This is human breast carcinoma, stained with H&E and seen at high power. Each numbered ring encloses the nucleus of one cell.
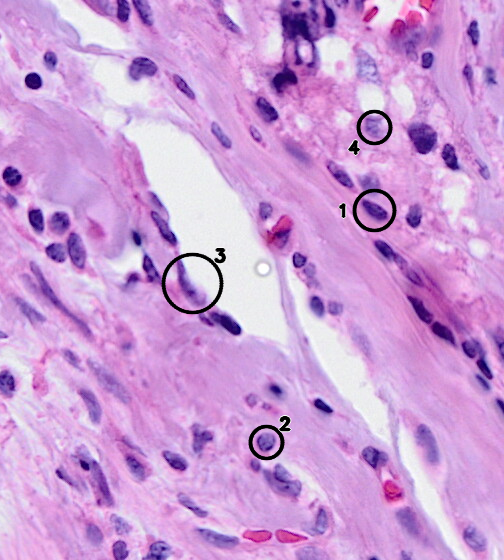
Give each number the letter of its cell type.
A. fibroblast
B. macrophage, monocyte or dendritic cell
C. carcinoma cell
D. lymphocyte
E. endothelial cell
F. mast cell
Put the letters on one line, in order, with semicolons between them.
D; F; A; A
